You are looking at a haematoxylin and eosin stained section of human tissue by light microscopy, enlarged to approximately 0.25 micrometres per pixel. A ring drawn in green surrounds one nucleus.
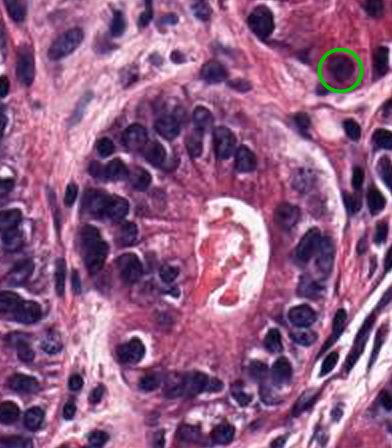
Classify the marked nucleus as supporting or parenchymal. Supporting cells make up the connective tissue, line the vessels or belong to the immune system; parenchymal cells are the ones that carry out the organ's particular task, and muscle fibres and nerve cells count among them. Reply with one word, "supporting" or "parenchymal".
parenchymal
